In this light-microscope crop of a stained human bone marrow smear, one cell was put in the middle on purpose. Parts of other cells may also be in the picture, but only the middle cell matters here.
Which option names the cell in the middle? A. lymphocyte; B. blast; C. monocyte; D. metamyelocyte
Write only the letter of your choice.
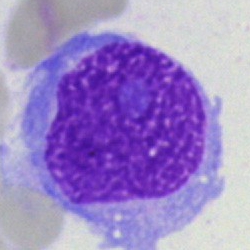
B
